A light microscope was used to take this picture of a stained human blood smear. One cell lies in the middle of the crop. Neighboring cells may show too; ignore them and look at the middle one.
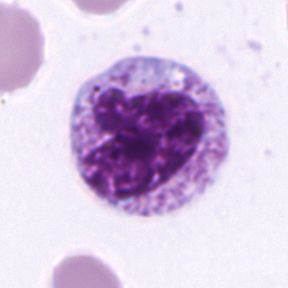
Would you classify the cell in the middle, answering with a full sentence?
The cell of interest, located centrally, is a band neutrophil.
